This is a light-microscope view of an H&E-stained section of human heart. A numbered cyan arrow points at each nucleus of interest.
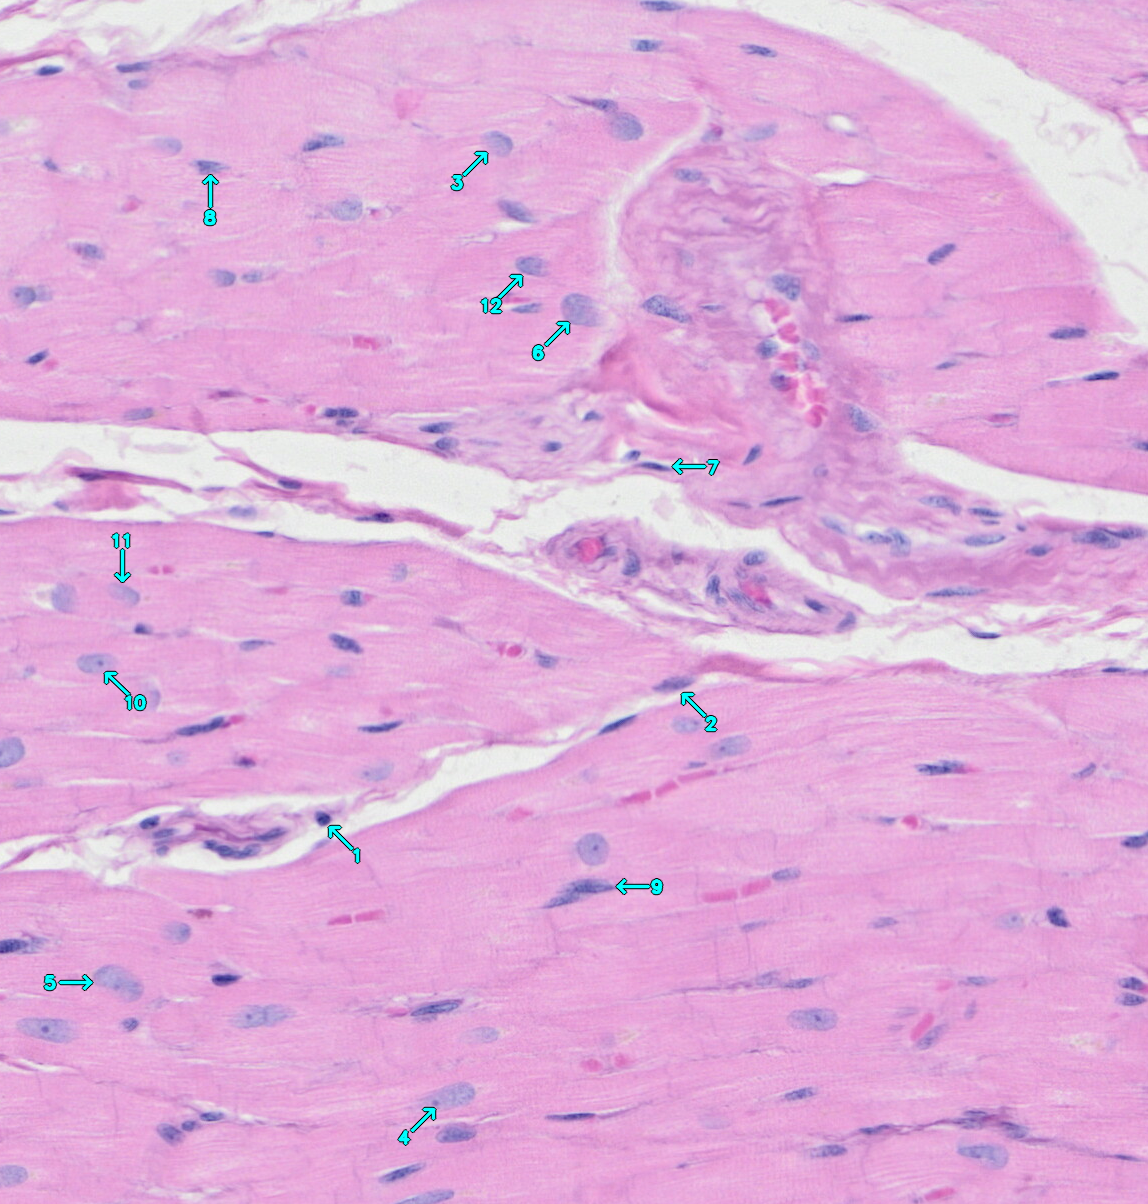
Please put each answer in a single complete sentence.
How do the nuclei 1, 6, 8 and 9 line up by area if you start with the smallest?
Smallest first, the nuclei run 1, 8, 9, 6.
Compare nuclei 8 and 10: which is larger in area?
It is nucleus 10, which covers about 1.5 times the area of nucleus 8.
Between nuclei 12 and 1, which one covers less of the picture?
With nucleus 12 about 3 times its size, nucleus 1 is the smaller of the two.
